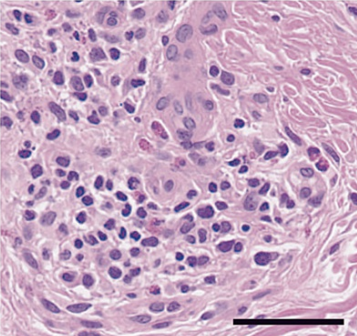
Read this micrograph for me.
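At high power, the dermis around a small vessel is crowded with inflammatory cells lying among pink collagen fibres. Most are small round cells with dense dark nuclei and little cytoplasm, and mixed among them are cells with bright pink-red granular cytoplasm. These are lymphocytes together with eosinophils.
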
